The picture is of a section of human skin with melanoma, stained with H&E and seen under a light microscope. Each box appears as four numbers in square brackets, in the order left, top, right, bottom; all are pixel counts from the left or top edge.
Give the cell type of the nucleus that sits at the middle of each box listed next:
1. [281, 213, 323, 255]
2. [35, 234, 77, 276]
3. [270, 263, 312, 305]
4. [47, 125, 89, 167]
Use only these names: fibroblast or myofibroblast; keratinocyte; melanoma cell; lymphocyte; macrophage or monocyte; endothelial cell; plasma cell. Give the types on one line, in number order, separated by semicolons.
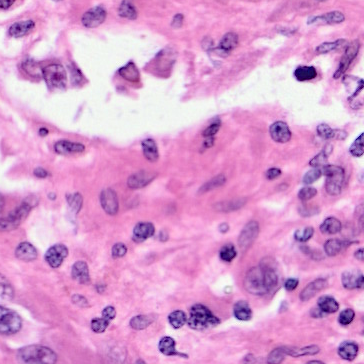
lymphocyte; lymphocyte; lymphocyte; macrophage or monocyte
